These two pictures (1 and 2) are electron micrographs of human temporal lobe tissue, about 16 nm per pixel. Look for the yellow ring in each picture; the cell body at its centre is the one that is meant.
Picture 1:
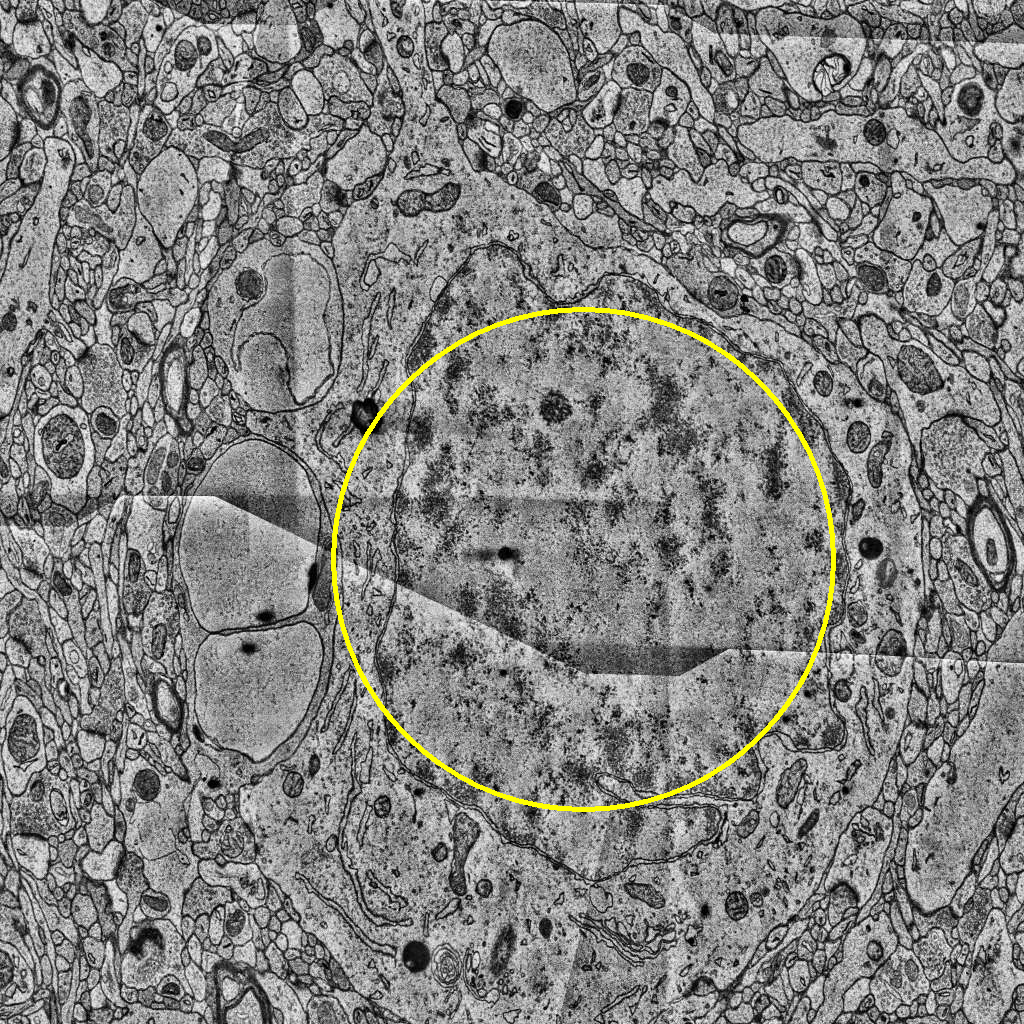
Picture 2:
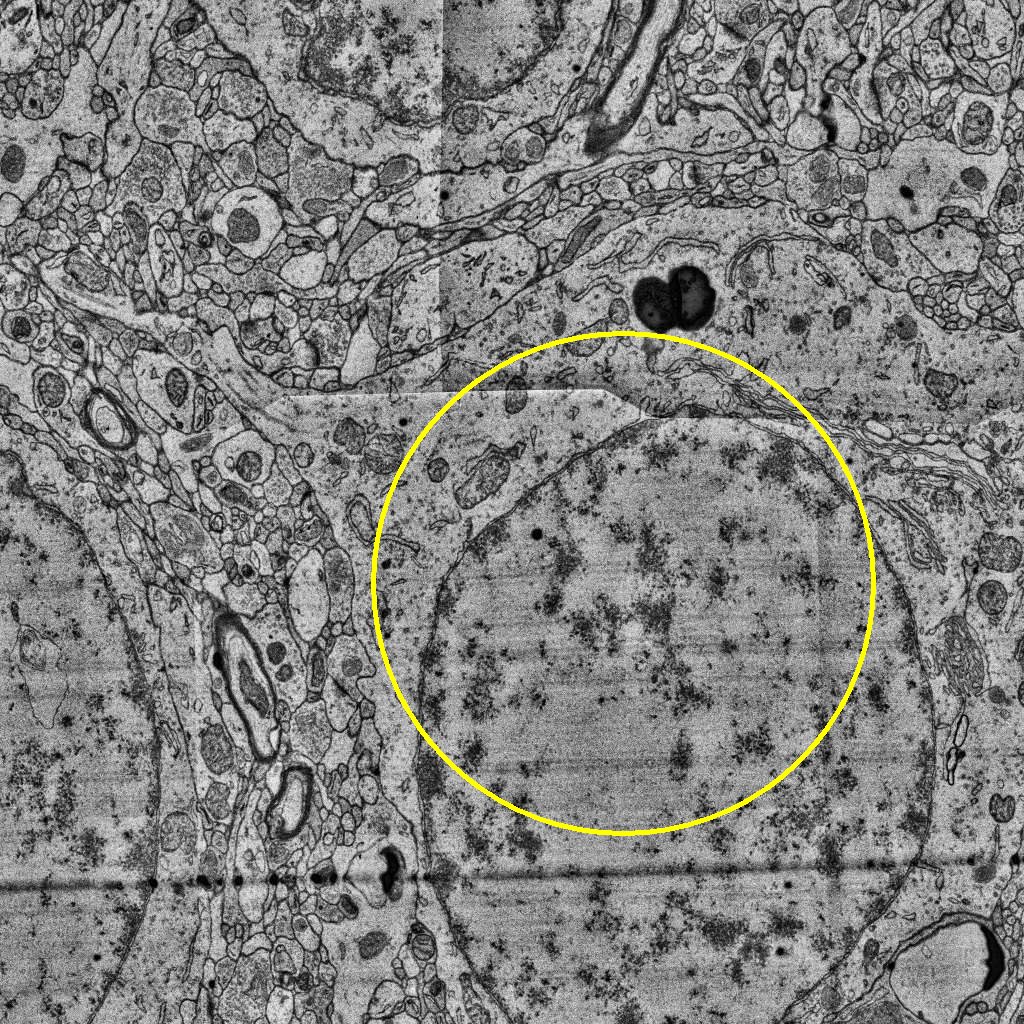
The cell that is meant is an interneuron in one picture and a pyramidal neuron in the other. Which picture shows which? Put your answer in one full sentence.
In picture 1 the cell is an interneuron; in picture 2, a pyramidal neuron.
